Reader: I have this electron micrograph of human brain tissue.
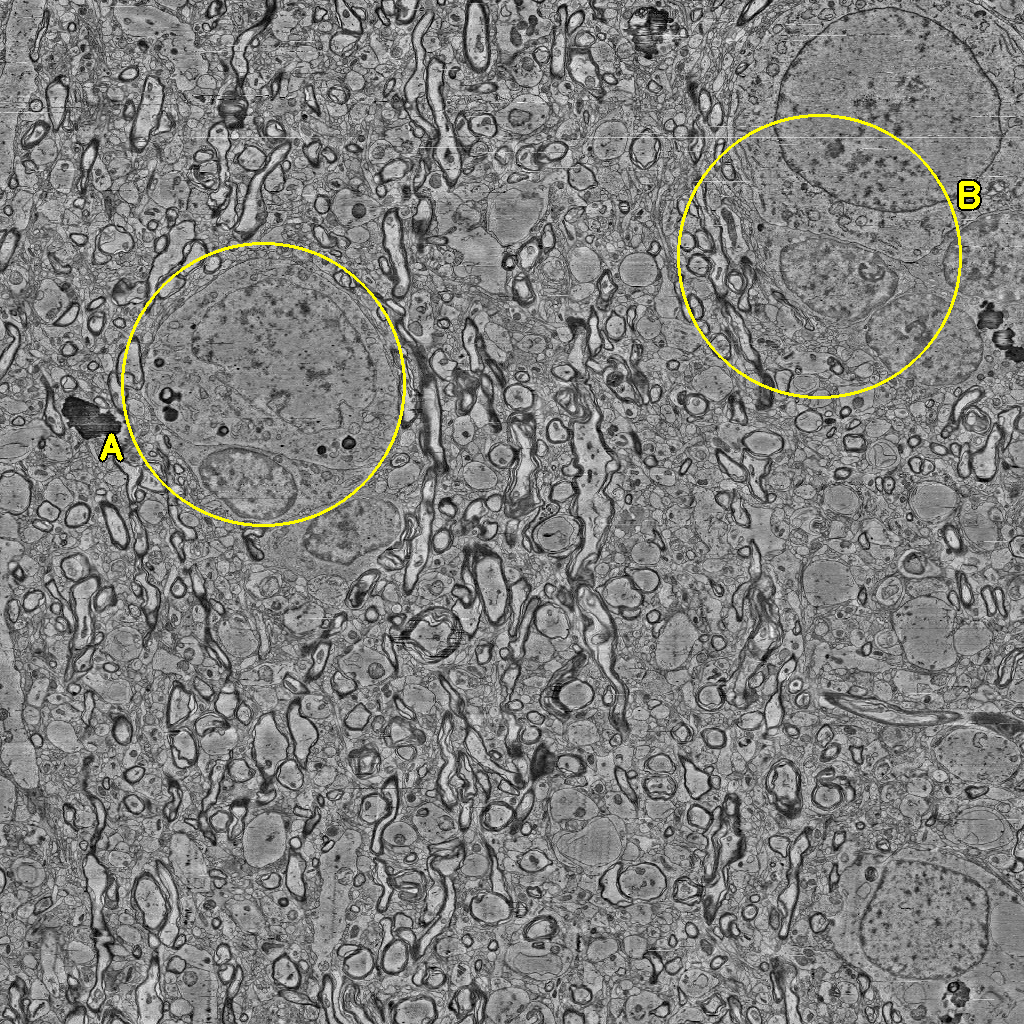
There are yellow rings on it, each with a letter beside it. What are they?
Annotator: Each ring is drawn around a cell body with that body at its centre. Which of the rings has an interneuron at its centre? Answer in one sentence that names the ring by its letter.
That cell sits at the centre of ring A.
